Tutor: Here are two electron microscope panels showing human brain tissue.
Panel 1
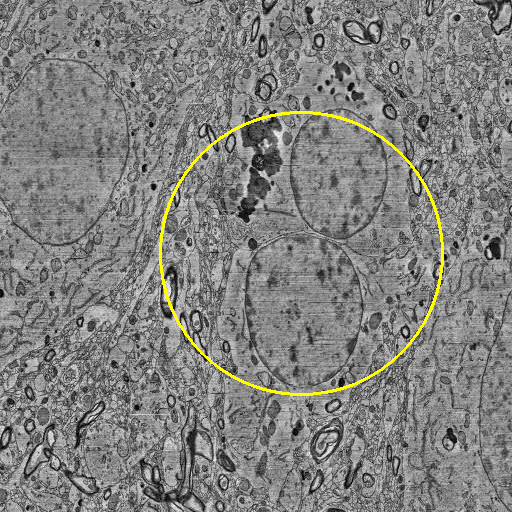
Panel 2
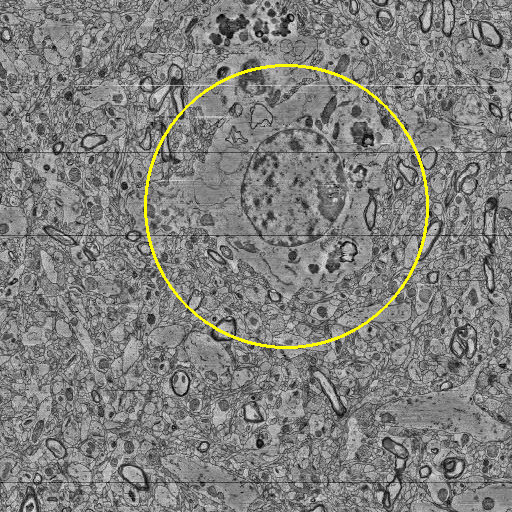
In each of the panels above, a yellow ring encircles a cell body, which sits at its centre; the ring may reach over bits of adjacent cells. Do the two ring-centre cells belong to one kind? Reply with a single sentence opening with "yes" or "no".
Yes, the two cells sitting at the ring centres in the panels belong to one kind.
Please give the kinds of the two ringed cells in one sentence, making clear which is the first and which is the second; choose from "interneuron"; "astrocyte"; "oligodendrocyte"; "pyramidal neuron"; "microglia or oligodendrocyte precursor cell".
The first and the second cell are each an astrocyte.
